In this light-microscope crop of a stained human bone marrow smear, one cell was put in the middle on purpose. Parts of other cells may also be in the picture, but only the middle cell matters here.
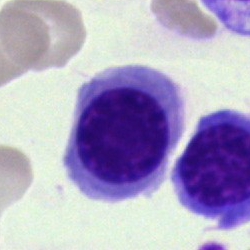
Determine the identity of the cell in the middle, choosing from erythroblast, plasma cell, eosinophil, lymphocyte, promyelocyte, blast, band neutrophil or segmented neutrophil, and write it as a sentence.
The identification for the central cell is an erythroblast.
